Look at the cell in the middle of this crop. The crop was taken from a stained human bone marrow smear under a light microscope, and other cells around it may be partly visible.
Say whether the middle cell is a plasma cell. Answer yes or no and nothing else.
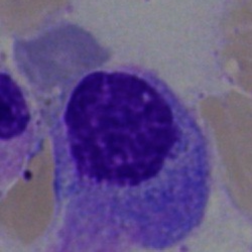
yes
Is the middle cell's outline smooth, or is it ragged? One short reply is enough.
Around its whole circumference the outline stays smooth, free of projections.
